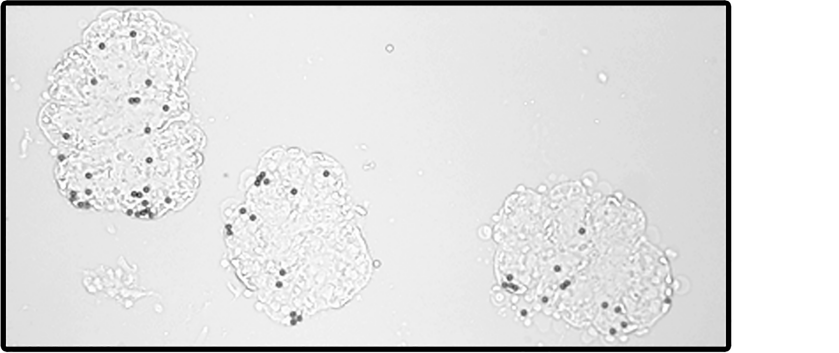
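Three isolated glomeruli lie apart from one another on a clear, pale background, with no tubules or surrounding tissue attached. Each is a roughly round, lobulated ball of tightly packed cells, its edge scalloped by the bulging profiles of small rounded cells and capillary loops. The interior looks pale and finely textured, without stain. Scattered through each ball are small, uniform, dark round particles, clustering in places, which sit in the capillary tufts. A small fragment of loose debris lies near the lower left. The size, rounded lobular form and free-standing tufts identify these as glomeruli separated from the rest of the kidney.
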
